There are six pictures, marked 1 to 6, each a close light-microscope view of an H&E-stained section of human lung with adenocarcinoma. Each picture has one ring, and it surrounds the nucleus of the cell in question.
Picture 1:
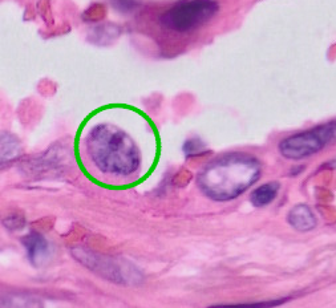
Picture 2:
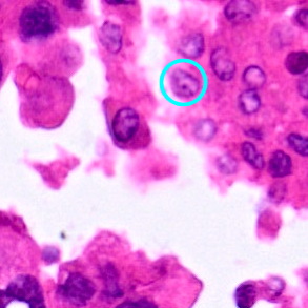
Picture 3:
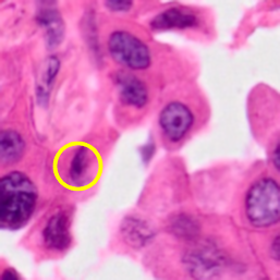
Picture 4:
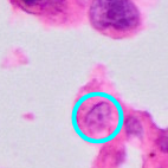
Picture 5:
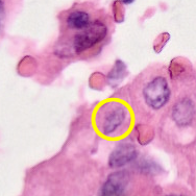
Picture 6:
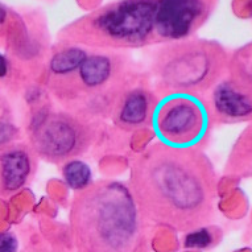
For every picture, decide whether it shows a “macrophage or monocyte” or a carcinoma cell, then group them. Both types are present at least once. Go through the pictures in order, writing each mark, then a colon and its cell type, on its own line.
1: carcinoma cell
2: macrophage or monocyte
3: carcinoma cell
4: macrophage or monocyte
5: macrophage or monocyte
6: macrophage or monocyte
